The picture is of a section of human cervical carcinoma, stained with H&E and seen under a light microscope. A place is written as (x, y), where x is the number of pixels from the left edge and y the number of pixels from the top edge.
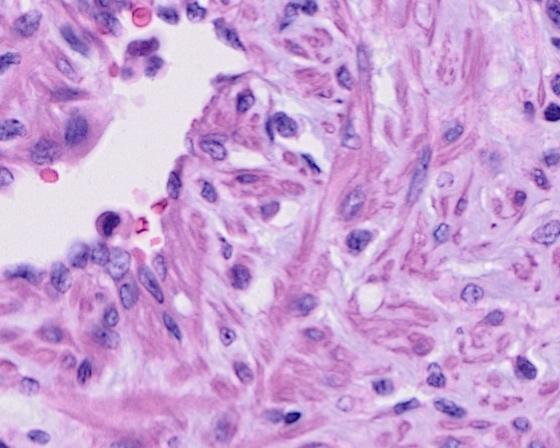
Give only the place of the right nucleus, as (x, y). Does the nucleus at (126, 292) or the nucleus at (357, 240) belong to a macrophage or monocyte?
(357, 240)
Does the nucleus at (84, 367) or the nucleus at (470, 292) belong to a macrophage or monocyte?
(470, 292)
